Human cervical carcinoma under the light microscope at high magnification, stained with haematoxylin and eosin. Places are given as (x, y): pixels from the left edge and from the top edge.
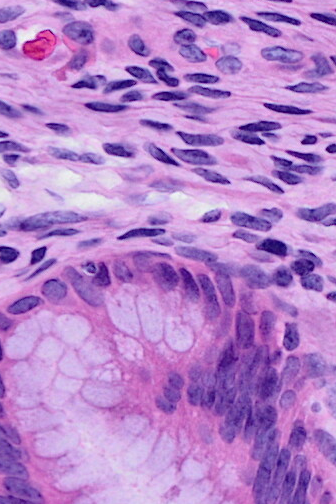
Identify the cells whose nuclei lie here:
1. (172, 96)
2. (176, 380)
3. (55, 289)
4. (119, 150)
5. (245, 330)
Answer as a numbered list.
1. fibroblast
2. secretory epithelial cell
3. secretory epithelial cell
4. fibroblast
5. secretory epithelial cell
